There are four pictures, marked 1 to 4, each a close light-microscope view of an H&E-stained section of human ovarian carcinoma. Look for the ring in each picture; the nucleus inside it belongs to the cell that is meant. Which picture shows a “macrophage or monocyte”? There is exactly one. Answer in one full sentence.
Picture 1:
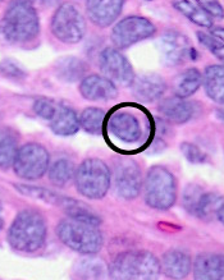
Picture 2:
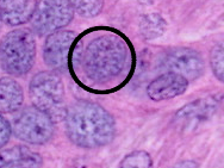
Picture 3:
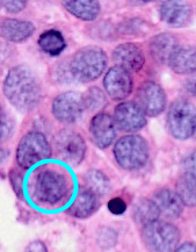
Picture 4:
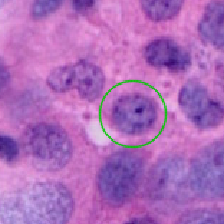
The “macrophage or monocyte” is the one in picture 4.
